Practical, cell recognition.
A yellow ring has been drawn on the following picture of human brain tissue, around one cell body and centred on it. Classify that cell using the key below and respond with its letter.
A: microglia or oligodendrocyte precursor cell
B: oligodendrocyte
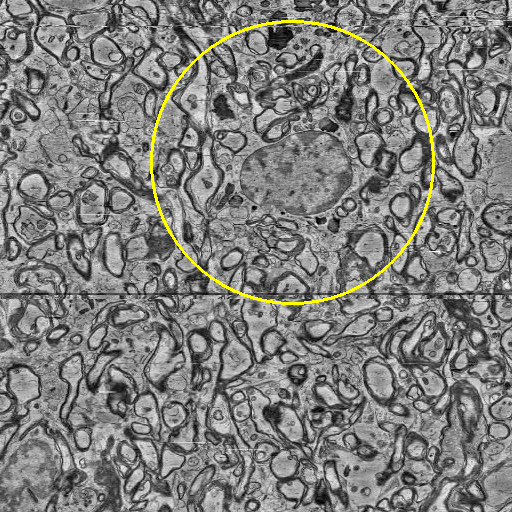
A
